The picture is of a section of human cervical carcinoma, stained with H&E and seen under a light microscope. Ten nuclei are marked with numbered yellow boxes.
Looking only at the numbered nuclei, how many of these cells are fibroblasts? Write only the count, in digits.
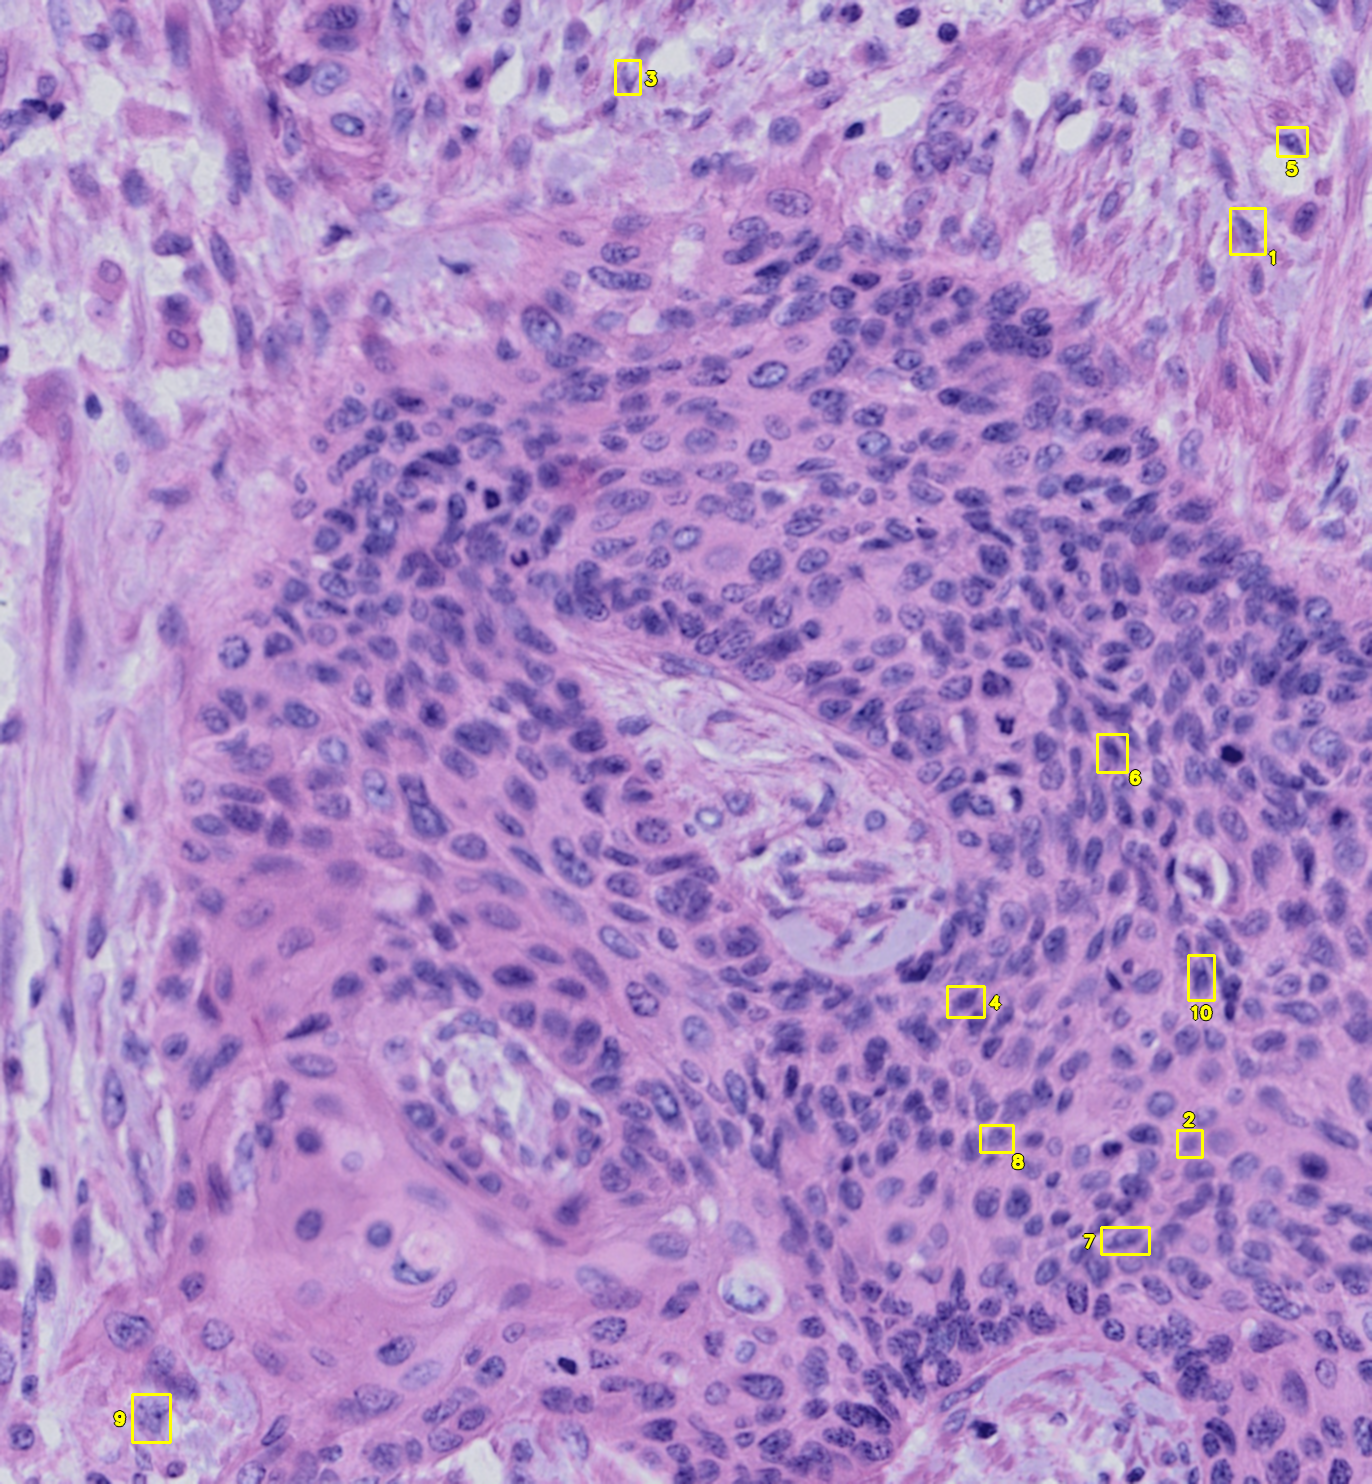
4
